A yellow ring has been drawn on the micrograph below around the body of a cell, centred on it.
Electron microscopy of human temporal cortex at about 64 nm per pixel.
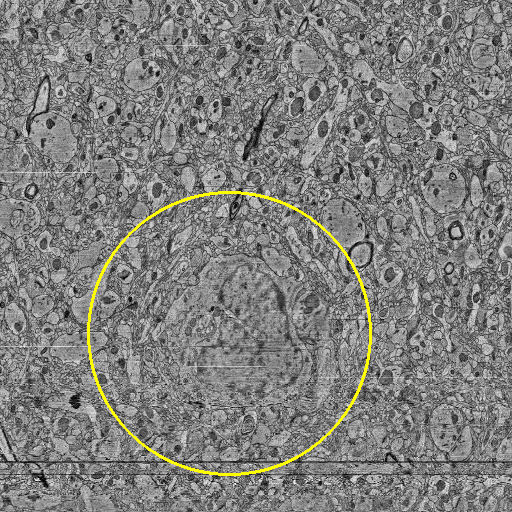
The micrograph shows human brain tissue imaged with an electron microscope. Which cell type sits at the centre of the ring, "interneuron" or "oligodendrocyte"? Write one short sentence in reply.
The cell sitting at the centre of the ring is an interneuron.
